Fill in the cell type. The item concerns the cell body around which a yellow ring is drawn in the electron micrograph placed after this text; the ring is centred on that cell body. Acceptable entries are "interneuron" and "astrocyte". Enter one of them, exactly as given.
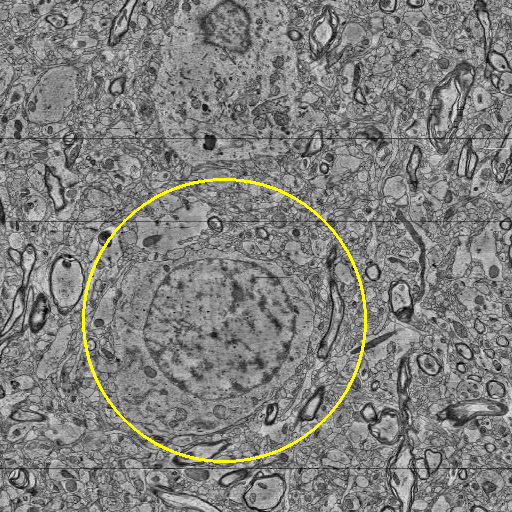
interneuron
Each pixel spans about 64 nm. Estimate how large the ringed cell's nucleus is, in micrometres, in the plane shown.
In this plane the nucleus measures roughly 10 micrometres across.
